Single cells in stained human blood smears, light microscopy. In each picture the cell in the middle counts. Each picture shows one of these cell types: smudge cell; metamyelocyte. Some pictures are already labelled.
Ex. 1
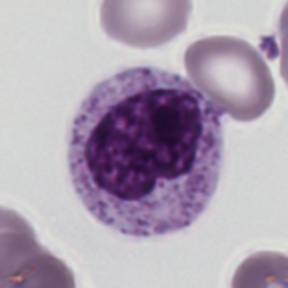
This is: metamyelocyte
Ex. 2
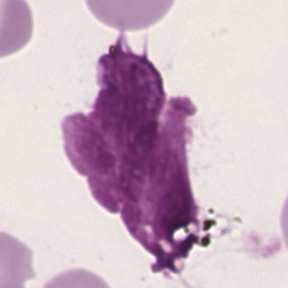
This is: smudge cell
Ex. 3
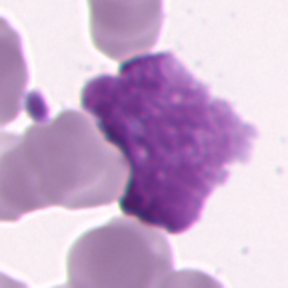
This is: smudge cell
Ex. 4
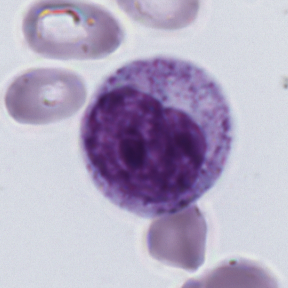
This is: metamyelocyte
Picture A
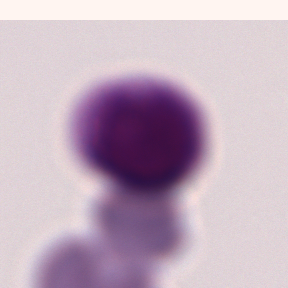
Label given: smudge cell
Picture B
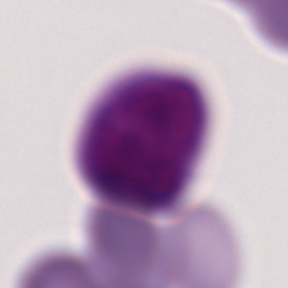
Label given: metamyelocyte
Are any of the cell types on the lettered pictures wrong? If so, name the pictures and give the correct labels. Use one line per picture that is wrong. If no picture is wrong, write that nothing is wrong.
B: smudge cell, not metamyelocyte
